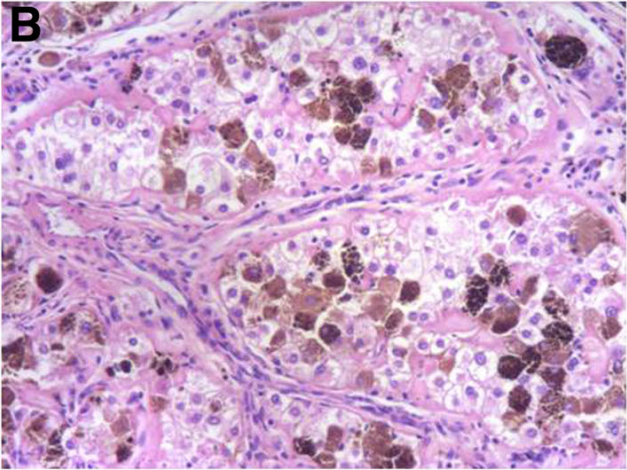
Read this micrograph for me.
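Polygonal cells with pale clear to finely granular cytoplasm and small round nuclei lie in rounded nests, separated by thin bands of pink stroma with slender spindle nuclei. Many of the cells are packed with dark brown granular pigment in their cytoplasm. This is a tumor of clear and granular polygonal cells in nests bounded by thin fibrovascular septa, with abundant intracytoplasmic brown pigment.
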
